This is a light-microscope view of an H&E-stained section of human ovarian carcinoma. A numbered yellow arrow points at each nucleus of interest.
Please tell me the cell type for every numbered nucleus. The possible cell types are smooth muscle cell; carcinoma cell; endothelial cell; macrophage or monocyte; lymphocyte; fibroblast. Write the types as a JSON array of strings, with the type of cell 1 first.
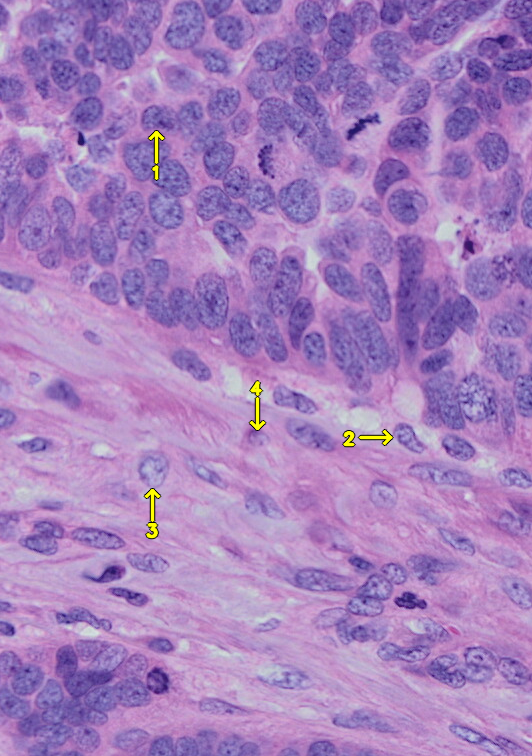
["carcinoma cell", "macrophage or monocyte", "fibroblast", "fibroblast"]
